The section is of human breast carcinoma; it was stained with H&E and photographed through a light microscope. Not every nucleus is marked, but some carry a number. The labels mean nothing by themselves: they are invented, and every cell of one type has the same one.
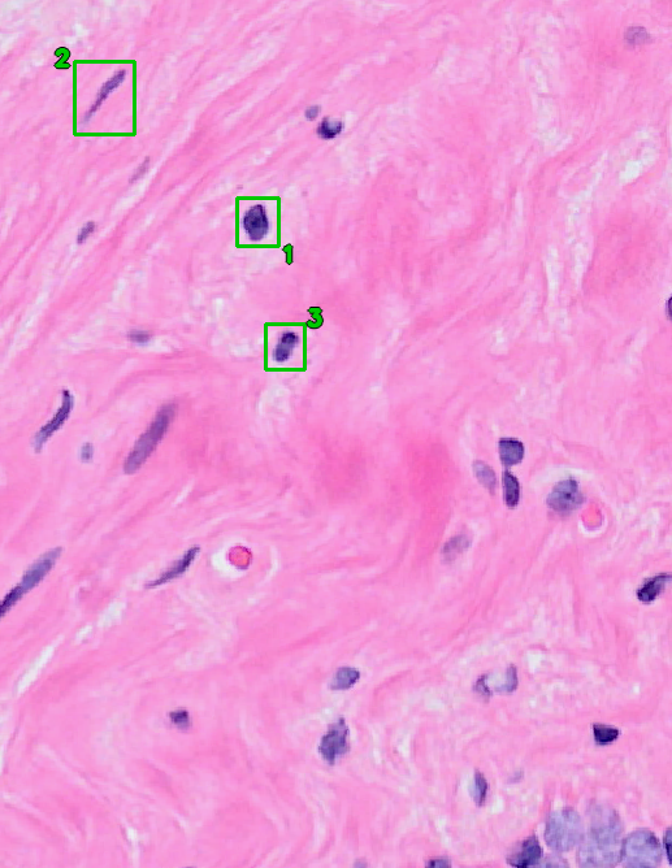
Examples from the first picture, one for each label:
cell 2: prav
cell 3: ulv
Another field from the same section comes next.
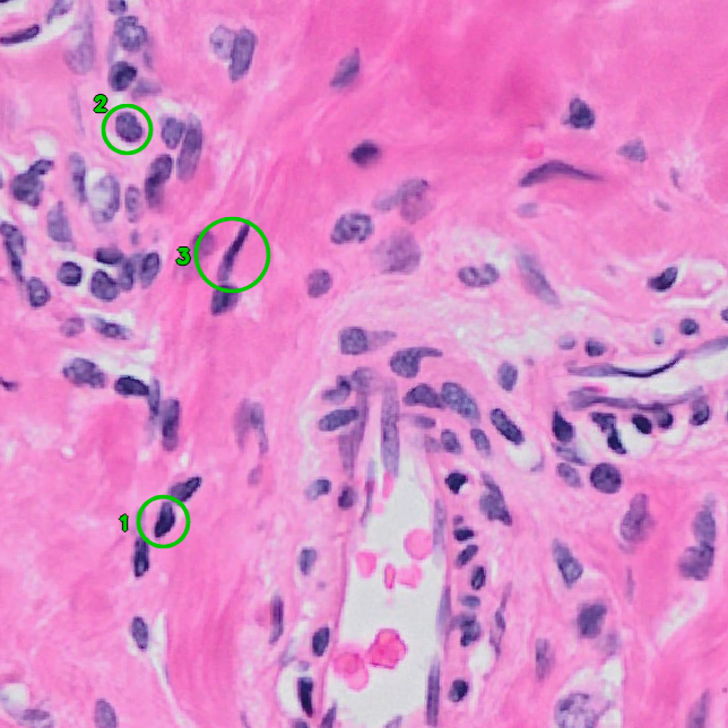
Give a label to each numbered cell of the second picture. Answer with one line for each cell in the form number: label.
1: ulv
2: ulv
3: prav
